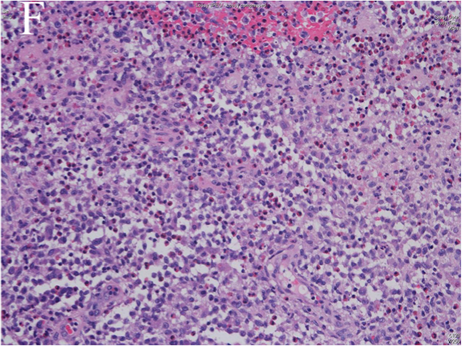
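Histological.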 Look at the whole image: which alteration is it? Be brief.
Eosinophilic infiltration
